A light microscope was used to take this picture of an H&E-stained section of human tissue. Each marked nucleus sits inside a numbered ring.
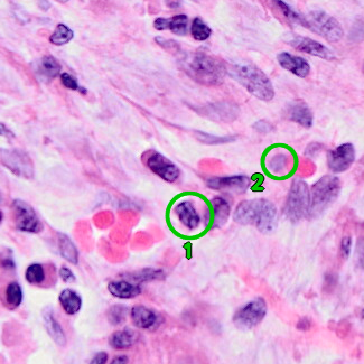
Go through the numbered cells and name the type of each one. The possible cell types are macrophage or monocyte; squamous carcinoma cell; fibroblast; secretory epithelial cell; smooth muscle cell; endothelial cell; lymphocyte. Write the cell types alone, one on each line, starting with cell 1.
lymphocyte
endothelial cell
